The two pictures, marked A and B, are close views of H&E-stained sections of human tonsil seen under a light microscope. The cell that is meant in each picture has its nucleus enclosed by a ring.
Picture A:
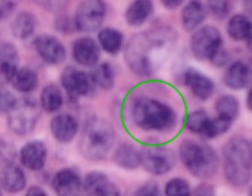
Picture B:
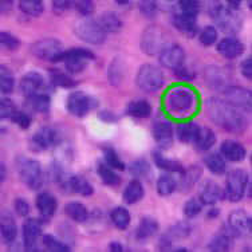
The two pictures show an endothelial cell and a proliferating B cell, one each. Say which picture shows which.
A: proliferating B cell
B: endothelial cell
